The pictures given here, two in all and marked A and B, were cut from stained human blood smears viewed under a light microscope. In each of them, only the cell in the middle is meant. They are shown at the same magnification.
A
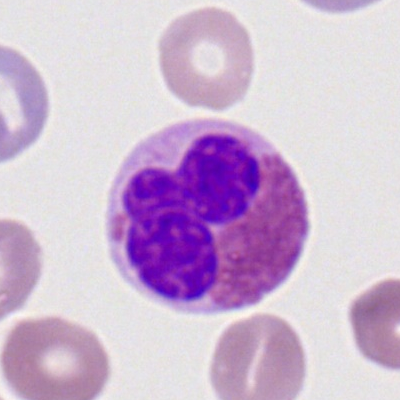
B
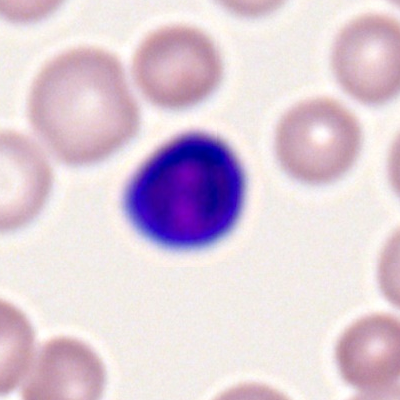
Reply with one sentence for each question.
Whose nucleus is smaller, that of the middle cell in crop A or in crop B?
Crop B shows the smaller nucleus, since that in crop A covers about 1.5 times as much area.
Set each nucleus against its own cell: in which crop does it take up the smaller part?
The nucleus fills less of the cell in crop A than in crop B.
